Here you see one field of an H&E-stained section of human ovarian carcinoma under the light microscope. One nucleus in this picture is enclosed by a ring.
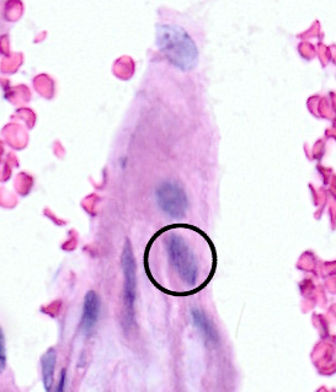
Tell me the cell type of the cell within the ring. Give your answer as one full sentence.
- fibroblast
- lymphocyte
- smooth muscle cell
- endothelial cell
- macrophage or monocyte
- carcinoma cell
The cell within the ring appears to be an endothelial cell.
